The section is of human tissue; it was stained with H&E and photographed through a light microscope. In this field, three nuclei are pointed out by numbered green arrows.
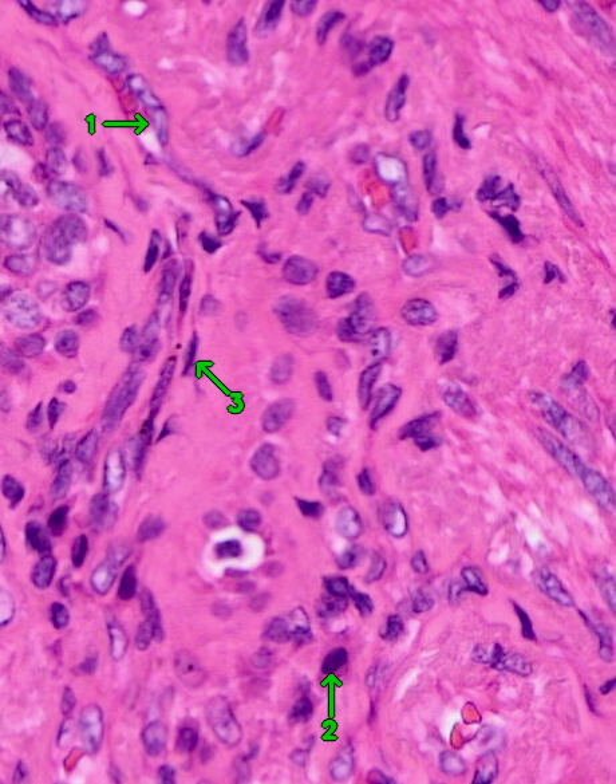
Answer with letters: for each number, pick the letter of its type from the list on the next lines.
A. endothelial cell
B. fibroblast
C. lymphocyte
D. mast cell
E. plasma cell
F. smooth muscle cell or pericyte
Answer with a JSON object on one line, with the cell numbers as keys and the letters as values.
{"1": "A", "2": "E", "3": "B"}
